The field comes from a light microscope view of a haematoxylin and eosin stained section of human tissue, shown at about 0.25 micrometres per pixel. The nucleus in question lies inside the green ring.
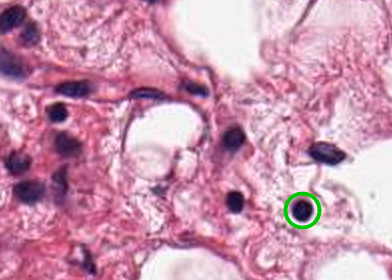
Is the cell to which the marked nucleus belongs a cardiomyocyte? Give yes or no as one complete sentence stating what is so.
No, the marked nucleus does not come from a cardiomyocyte but from a supporting cell.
